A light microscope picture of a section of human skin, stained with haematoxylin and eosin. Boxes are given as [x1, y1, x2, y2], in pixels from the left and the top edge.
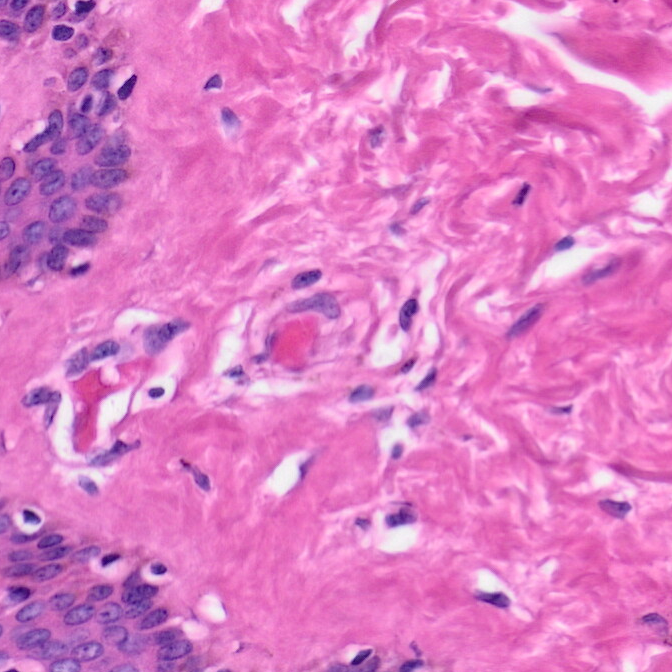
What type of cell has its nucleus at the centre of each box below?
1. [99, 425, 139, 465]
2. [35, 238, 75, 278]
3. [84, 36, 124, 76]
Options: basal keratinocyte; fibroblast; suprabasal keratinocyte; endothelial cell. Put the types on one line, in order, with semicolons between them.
fibroblast; basal keratinocyte; basal keratinocyte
